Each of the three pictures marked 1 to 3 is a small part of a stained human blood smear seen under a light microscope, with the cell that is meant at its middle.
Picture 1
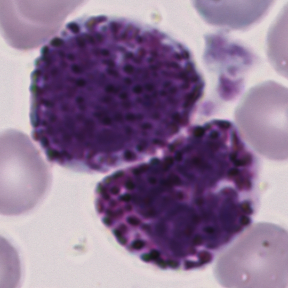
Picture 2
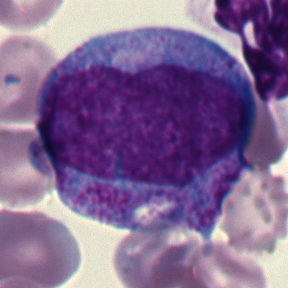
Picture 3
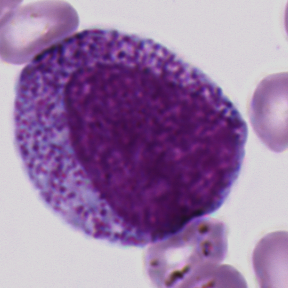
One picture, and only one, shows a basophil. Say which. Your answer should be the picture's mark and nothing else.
1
